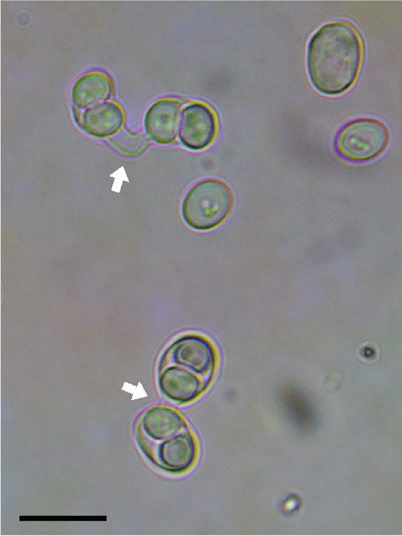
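Two pairs of cells are each joined by a narrow tube-like bridge, forming dumbbell-shaped asci; the conjugation tube is visible as a thin connecting neck between the partners. Inside these joined cells lie rounded, well-outlined bodies, the developing ascospores, two or so per side. Nearby single oval cells show granular contents or small inclusions but no bridge to a partner.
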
